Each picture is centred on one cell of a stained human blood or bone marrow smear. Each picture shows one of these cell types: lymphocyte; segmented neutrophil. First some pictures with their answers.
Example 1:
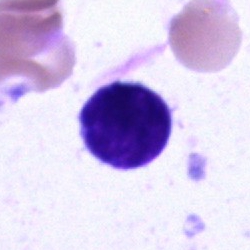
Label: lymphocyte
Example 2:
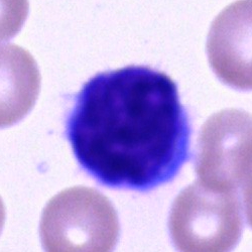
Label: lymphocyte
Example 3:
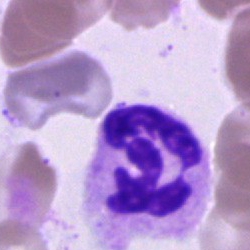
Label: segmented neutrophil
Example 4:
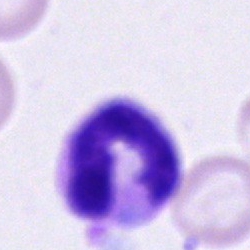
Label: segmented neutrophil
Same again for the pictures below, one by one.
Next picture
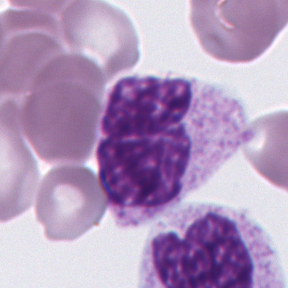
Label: segmented neutrophil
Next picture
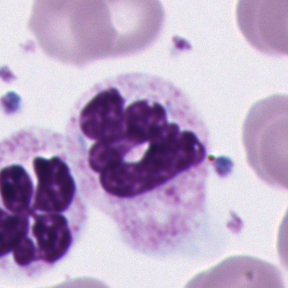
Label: segmented neutrophil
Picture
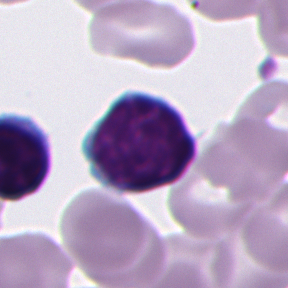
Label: lymphocyte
